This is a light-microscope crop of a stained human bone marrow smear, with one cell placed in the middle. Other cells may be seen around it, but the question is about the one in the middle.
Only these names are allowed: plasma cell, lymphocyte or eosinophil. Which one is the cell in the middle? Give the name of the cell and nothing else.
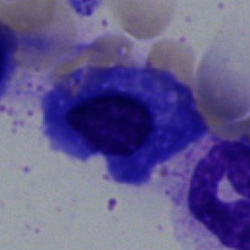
plasma cell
